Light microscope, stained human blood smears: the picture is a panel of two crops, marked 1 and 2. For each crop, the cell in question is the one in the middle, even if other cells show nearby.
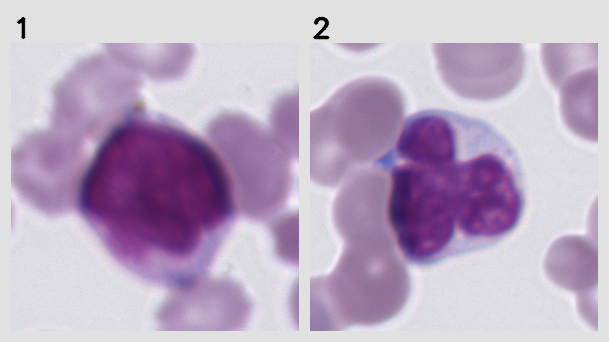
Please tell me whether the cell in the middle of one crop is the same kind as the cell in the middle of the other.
no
